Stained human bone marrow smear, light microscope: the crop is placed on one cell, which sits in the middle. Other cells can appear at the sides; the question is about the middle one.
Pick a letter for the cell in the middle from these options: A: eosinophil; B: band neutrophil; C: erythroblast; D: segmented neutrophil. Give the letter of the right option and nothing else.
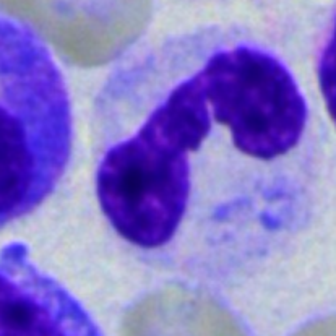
D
